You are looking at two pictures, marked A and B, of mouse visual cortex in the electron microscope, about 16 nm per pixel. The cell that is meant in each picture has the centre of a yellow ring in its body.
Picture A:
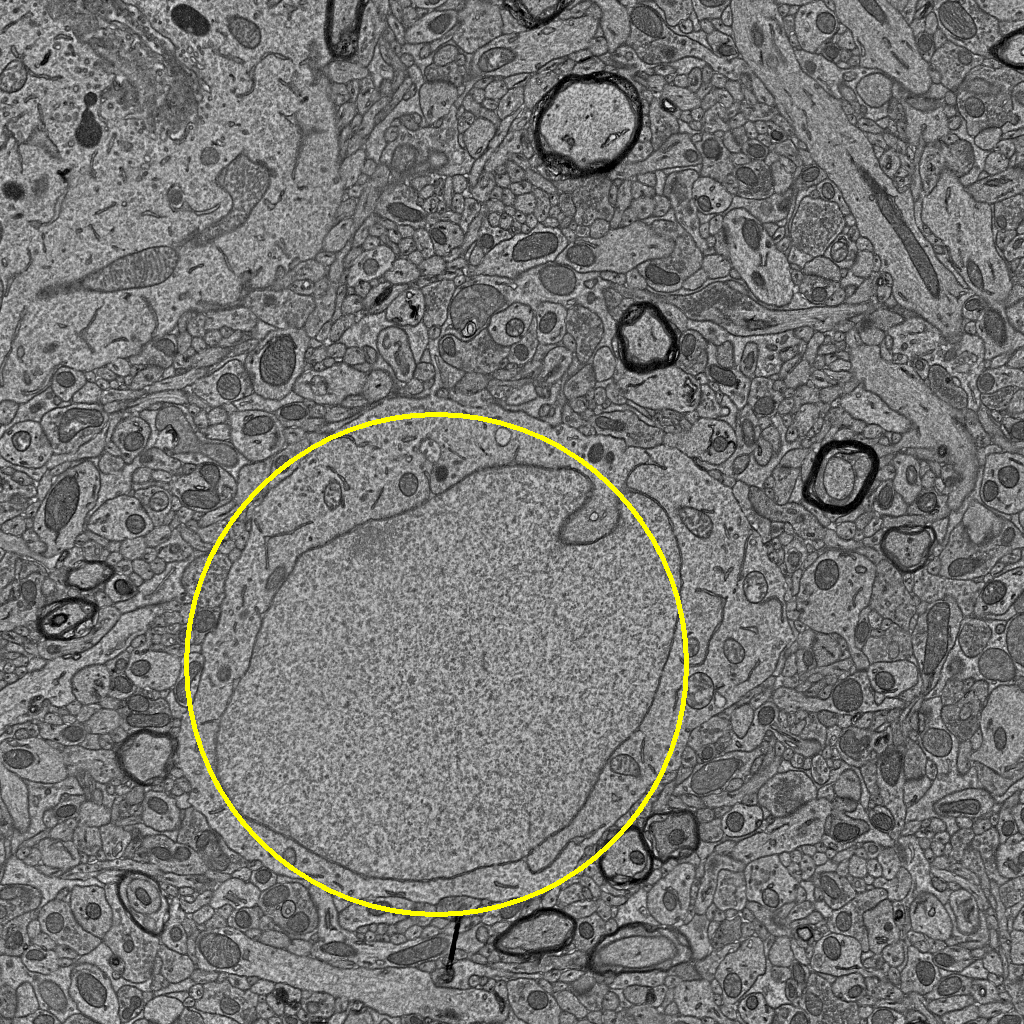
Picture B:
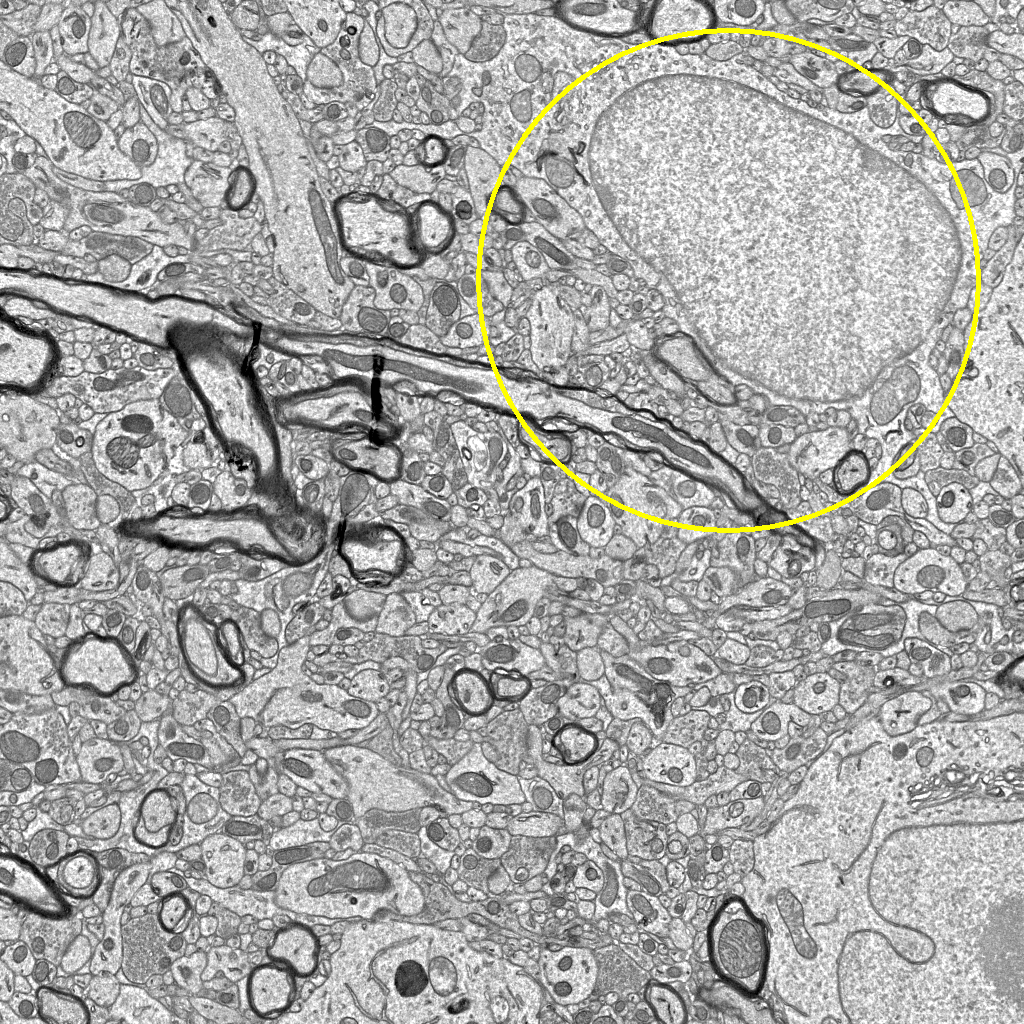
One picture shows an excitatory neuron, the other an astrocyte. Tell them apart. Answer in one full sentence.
In picture A the cell is an excitatory neuron; in picture B, an astrocyte.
